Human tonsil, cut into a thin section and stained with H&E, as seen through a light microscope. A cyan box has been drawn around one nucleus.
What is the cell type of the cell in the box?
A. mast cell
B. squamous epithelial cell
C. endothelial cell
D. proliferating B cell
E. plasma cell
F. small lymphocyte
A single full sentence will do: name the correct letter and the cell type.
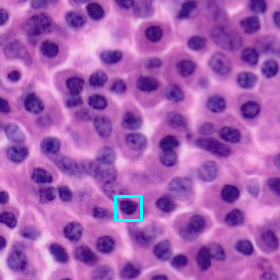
Option E wins here: the cell in the box is a plasma cell.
